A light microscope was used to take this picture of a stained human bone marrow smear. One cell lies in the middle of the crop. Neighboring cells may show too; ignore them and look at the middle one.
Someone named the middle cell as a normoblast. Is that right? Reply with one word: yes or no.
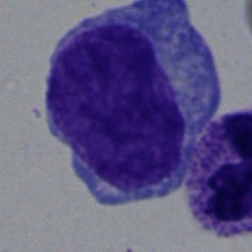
no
